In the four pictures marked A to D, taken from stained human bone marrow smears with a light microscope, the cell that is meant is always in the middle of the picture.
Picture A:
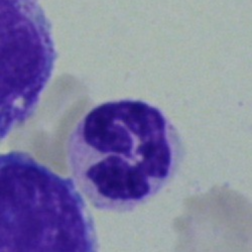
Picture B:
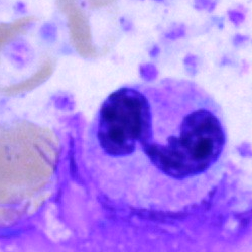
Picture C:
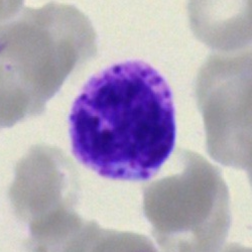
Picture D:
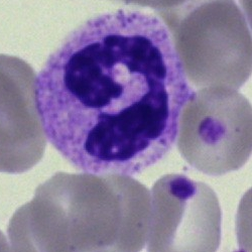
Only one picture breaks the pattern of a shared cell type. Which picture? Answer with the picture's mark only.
C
